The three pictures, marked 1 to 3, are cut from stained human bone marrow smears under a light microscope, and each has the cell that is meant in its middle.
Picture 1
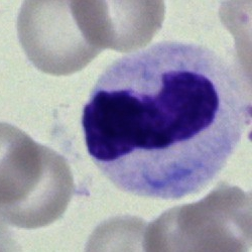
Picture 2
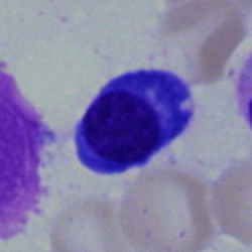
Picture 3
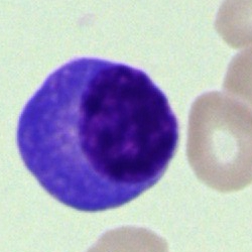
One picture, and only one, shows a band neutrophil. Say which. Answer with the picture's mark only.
1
